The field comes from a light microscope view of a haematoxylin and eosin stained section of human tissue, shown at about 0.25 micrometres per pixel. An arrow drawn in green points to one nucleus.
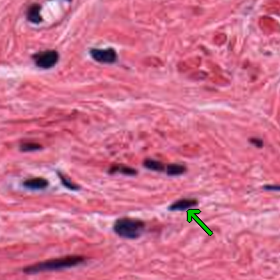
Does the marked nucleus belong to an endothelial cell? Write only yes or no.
no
